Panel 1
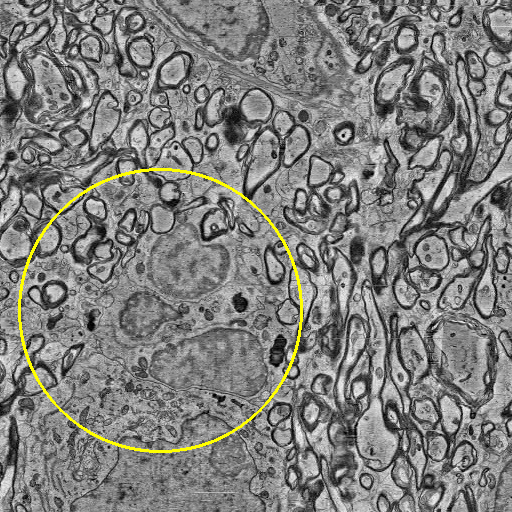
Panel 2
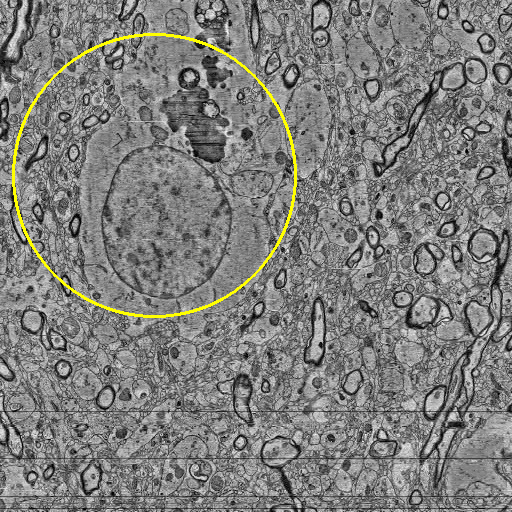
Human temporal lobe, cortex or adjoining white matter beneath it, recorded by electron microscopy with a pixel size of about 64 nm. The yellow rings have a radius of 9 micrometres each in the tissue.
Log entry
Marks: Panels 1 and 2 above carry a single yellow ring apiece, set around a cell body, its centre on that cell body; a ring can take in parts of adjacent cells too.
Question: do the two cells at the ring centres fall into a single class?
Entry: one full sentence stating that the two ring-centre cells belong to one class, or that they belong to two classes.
The two ring-centre cells in Panels 1 and 2 belong to two classes.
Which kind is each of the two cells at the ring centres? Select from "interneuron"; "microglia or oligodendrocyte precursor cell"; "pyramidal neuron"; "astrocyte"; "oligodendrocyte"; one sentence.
The cell at the centre of the ring is an oligodendrocyte in the first picture and an astrocyte in the second.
